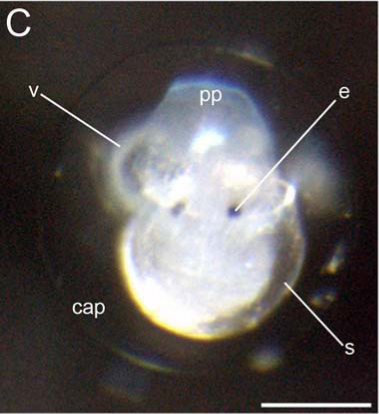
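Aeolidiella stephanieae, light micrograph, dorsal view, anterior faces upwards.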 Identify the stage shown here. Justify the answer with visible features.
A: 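Veliger stage larva. A shelled larva with a velum and a projecting foot. Two dark eye spots are visible. The larva is still within a capsule.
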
